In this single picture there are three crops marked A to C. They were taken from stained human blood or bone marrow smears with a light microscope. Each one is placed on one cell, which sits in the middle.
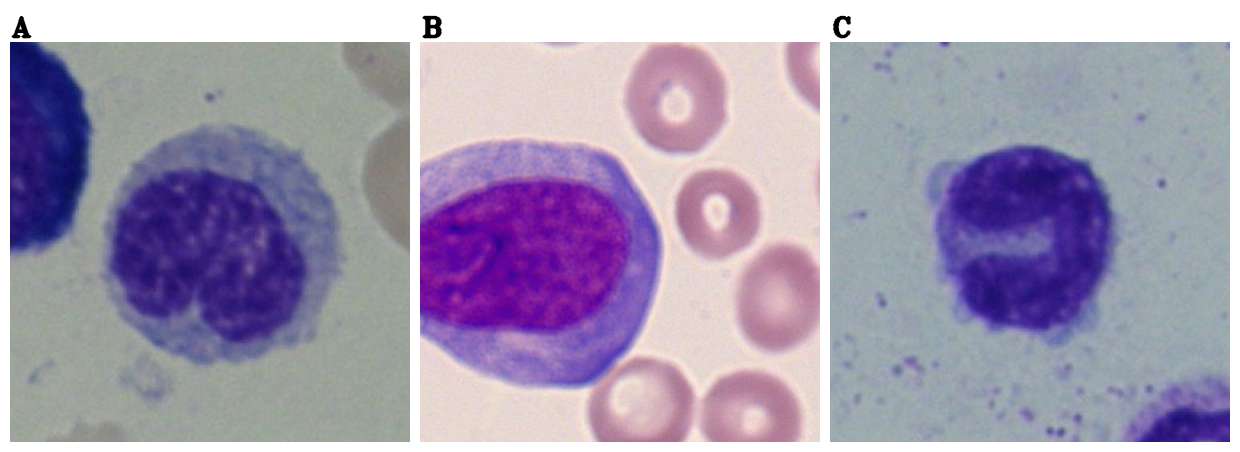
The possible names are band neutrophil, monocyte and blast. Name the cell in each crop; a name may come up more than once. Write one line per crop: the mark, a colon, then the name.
A: monocyte
B: blast
C: band neutrophil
